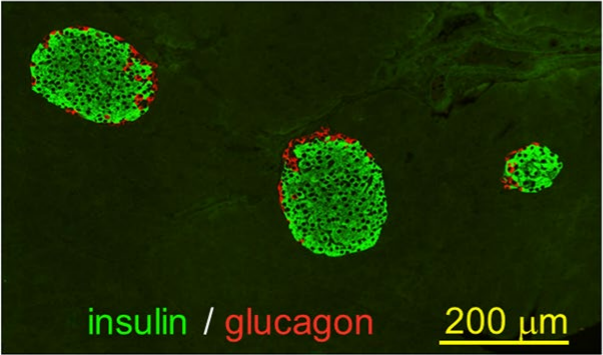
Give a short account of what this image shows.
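Three pancreatic islets of different sizes lie within faintly green surrounding exocrine tissue. Each islet is a compact, rounded to oval cluster of tightly packed cells with a smooth border. Green-stained cells form the bulk and the core of every islet, their dark nuclei giving the core a fine dotted pattern. Red-stained cells are few and sit chiefly as a thin rim at the edge of the islets, forming a mantle around the green core.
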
